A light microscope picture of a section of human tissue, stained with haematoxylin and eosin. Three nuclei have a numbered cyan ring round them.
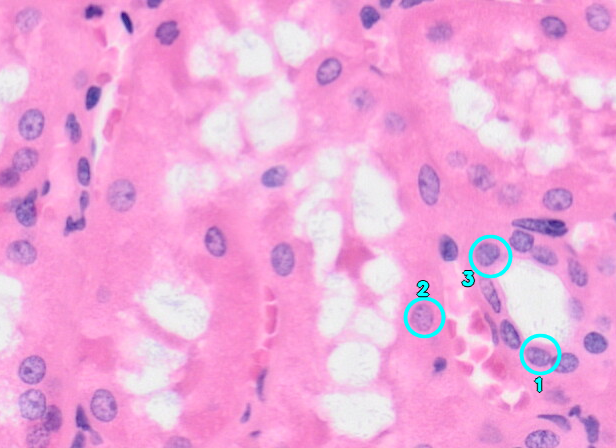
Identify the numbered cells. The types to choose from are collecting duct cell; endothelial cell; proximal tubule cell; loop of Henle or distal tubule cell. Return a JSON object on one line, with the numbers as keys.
{"1": "collecting duct cell", "2": "proximal tubule cell", "3": "collecting duct cell"}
